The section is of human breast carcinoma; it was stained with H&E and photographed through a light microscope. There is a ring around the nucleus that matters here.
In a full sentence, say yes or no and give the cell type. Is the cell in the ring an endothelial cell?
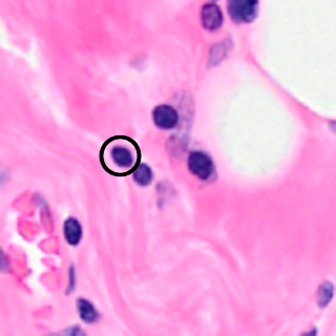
No, an endothelial cell is not what the cell in the ring is; it is a lymphocyte.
